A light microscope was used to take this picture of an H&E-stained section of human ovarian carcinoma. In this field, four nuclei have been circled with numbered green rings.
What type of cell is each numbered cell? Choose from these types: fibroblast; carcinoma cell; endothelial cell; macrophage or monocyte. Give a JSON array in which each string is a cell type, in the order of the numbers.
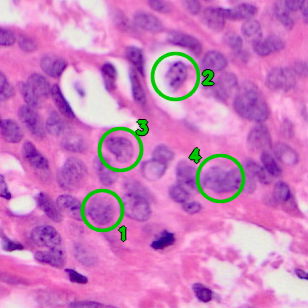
["carcinoma cell", "macrophage or monocyte", "macrophage or monocyte", "carcinoma cell"]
